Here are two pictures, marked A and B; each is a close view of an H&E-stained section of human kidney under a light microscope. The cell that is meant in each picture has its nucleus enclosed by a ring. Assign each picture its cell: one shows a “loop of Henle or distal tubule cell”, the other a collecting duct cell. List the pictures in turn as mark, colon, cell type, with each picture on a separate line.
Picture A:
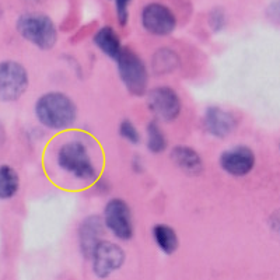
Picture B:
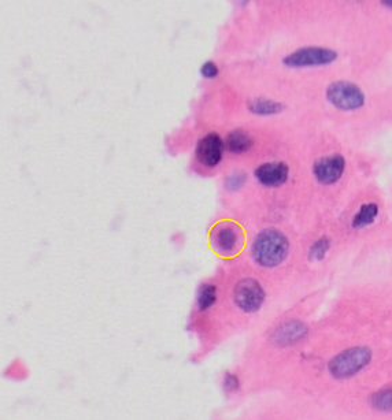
A: collecting duct cell
B: loop of Henle or distal tubule cell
